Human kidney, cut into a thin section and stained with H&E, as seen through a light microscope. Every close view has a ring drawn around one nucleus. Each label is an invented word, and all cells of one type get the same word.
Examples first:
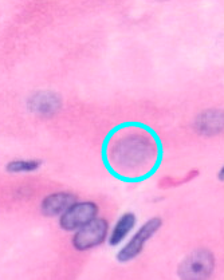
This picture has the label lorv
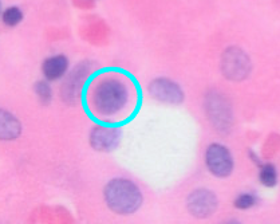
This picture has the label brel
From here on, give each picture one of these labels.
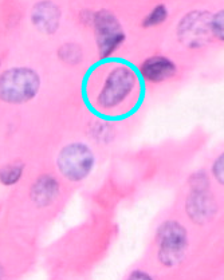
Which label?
brel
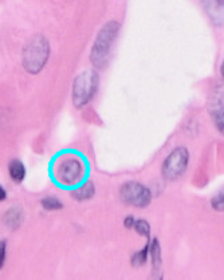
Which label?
brel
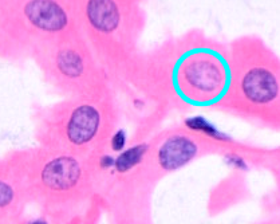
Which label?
lorv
